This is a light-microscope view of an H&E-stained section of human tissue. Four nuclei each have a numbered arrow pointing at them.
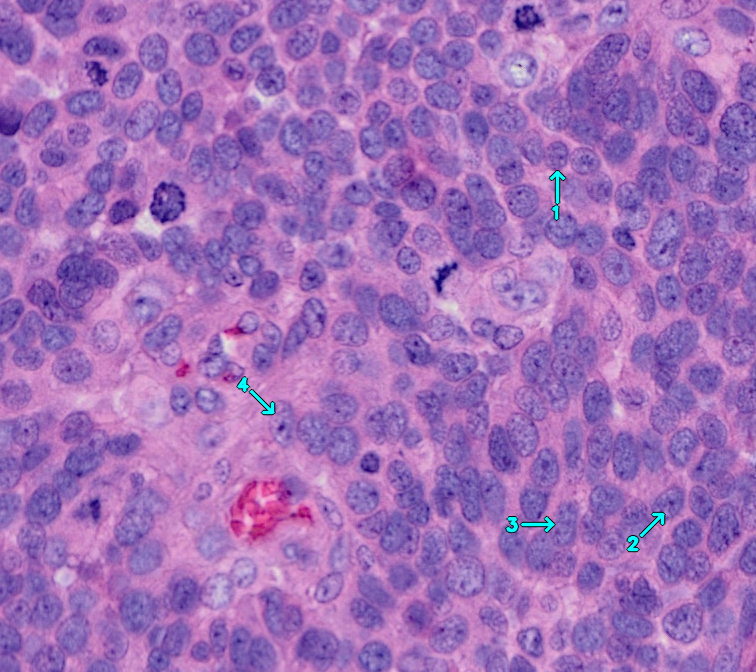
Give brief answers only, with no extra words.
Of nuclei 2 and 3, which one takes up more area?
3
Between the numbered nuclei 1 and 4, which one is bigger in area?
4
